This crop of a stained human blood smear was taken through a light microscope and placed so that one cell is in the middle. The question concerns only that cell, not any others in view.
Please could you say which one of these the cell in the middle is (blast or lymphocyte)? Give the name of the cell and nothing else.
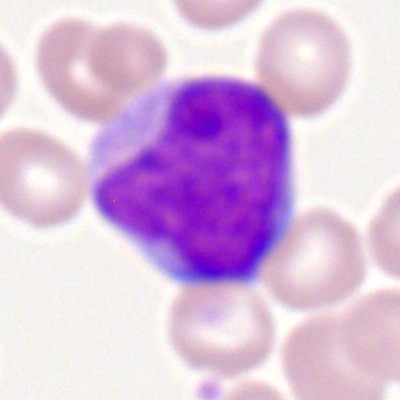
blast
